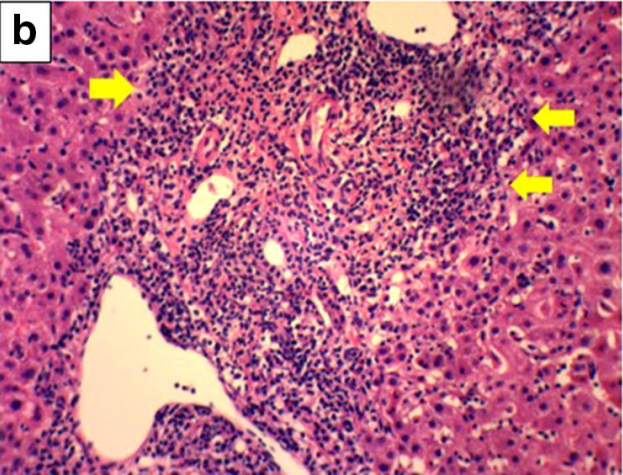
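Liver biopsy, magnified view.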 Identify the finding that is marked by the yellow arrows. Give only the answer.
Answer: Piecemeal necrosis.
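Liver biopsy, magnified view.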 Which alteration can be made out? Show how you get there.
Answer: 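A portal area with vessels is packed with small round dark-nucleated cells. The infiltrate is much denser than the surrounding hepatocyte plates.
Hence: dense lymphocytic/lymphoplasmacytic infiltrations in portal tracts.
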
